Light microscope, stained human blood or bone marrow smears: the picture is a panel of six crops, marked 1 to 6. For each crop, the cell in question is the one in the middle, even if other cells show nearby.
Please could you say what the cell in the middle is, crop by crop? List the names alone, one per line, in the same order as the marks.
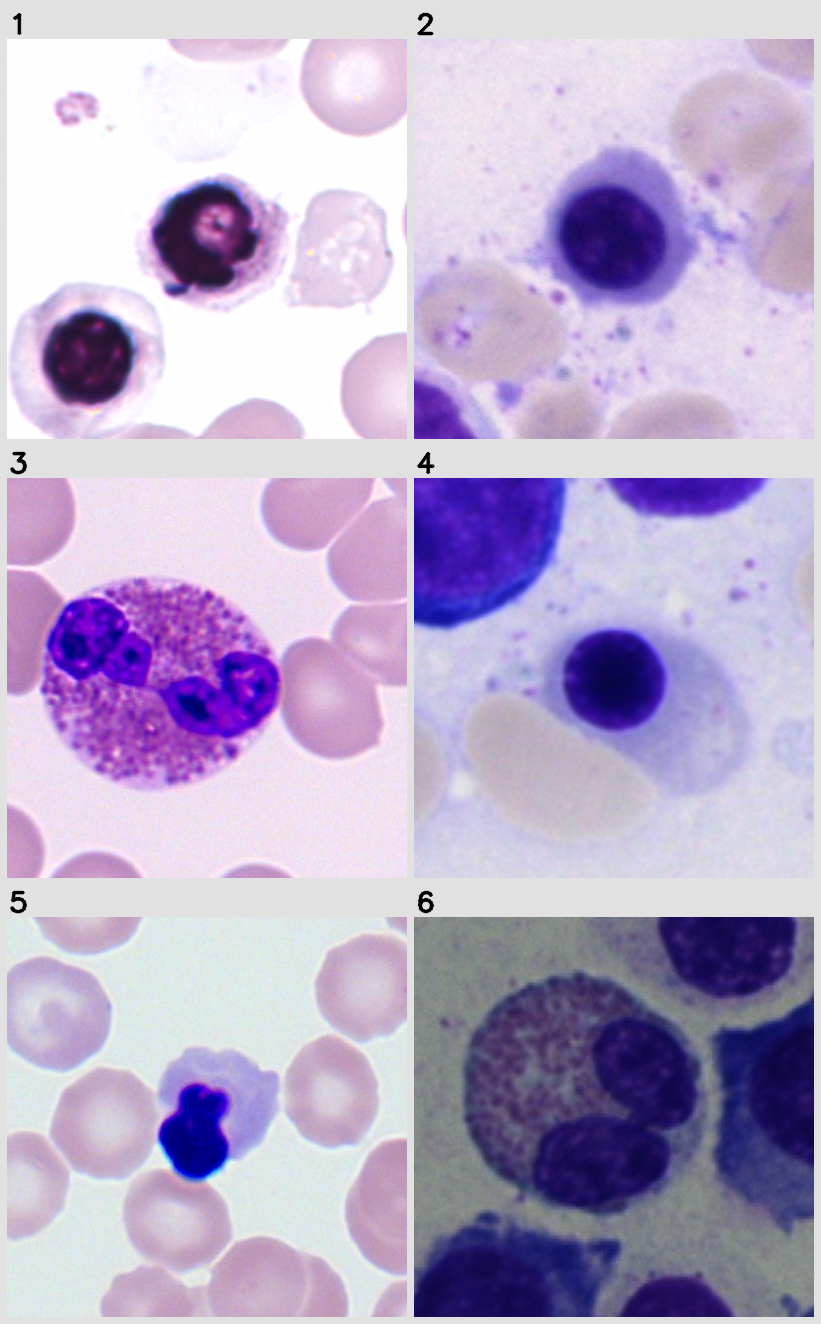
erythroblast
erythroblast
eosinophil
erythroblast
erythroblast
eosinophil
